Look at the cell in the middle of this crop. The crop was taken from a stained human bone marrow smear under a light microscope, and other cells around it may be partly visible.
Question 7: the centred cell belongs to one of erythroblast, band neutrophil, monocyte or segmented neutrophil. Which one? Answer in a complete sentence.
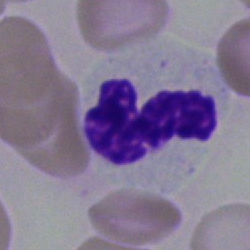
For this crop, the central cell is a segmented neutrophil.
